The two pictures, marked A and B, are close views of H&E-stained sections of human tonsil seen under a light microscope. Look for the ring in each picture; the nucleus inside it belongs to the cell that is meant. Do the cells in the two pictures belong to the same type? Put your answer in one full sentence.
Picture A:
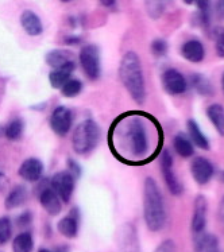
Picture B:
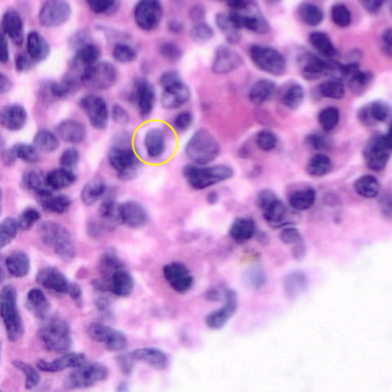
No, they differ: the cell is an endothelial cell in picture A and a proliferating B cell in picture B.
